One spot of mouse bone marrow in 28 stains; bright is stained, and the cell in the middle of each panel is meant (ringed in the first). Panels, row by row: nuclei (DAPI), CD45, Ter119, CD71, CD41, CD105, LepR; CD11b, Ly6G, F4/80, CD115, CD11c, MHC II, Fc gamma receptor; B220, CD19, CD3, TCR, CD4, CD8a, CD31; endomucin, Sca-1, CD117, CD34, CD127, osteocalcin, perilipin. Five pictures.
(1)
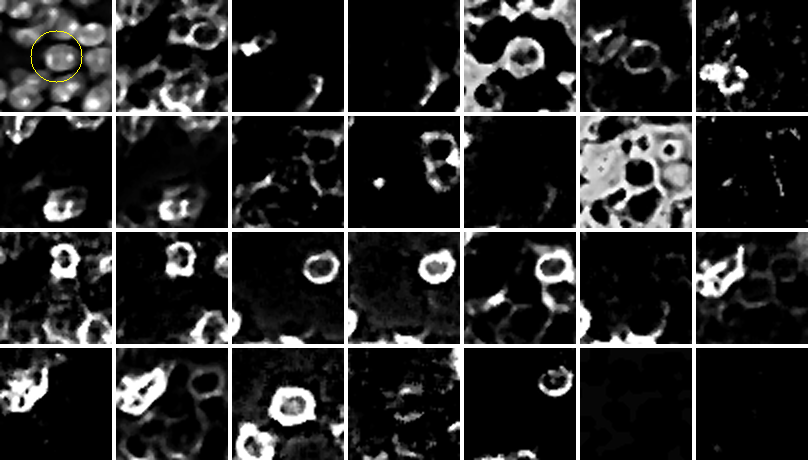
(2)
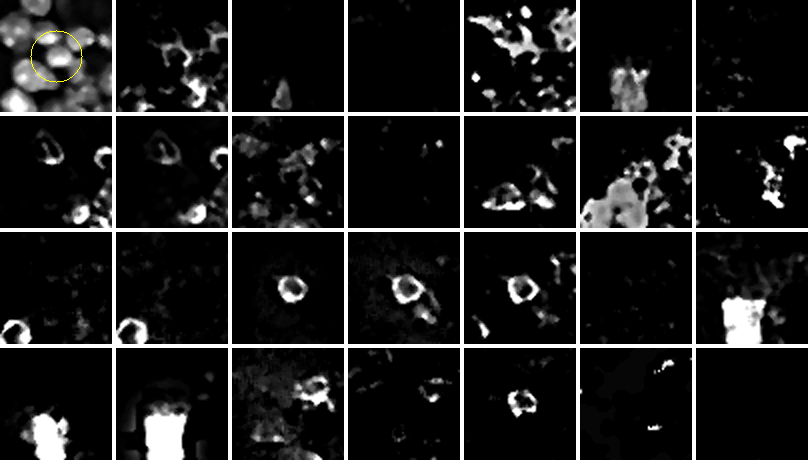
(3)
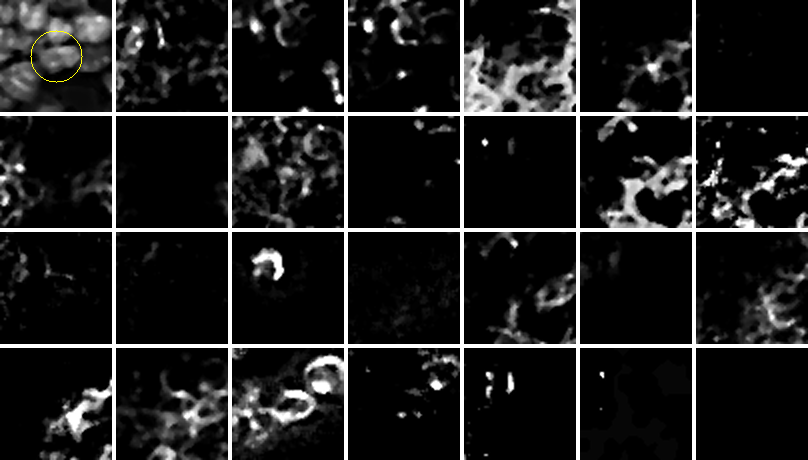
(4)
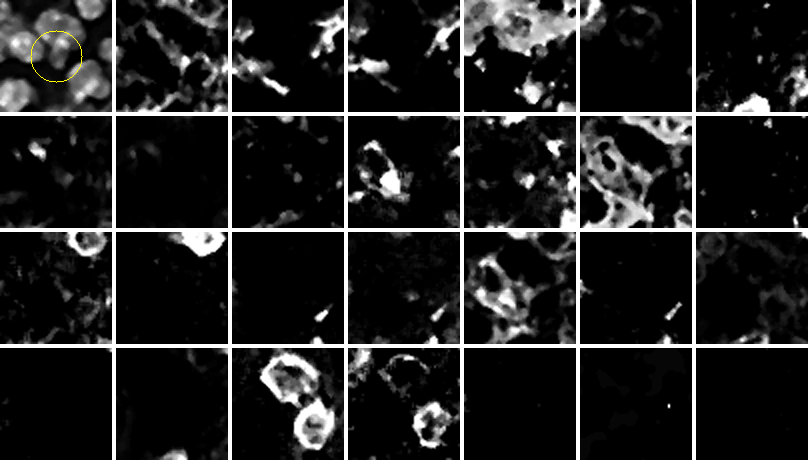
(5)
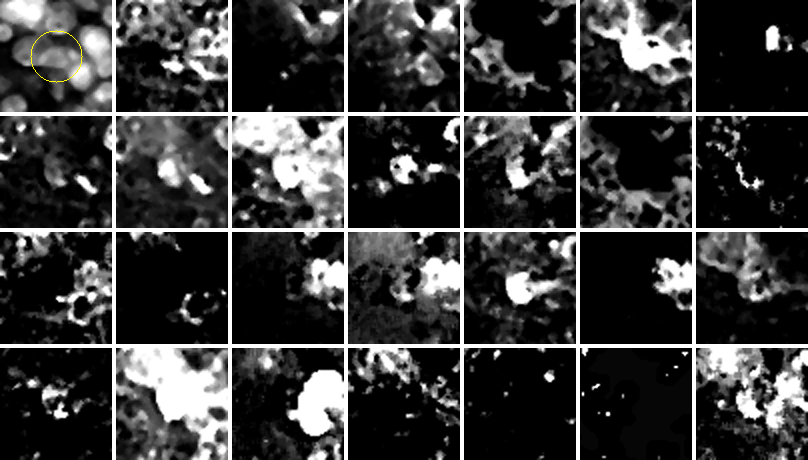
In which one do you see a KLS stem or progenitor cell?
In picture 3.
